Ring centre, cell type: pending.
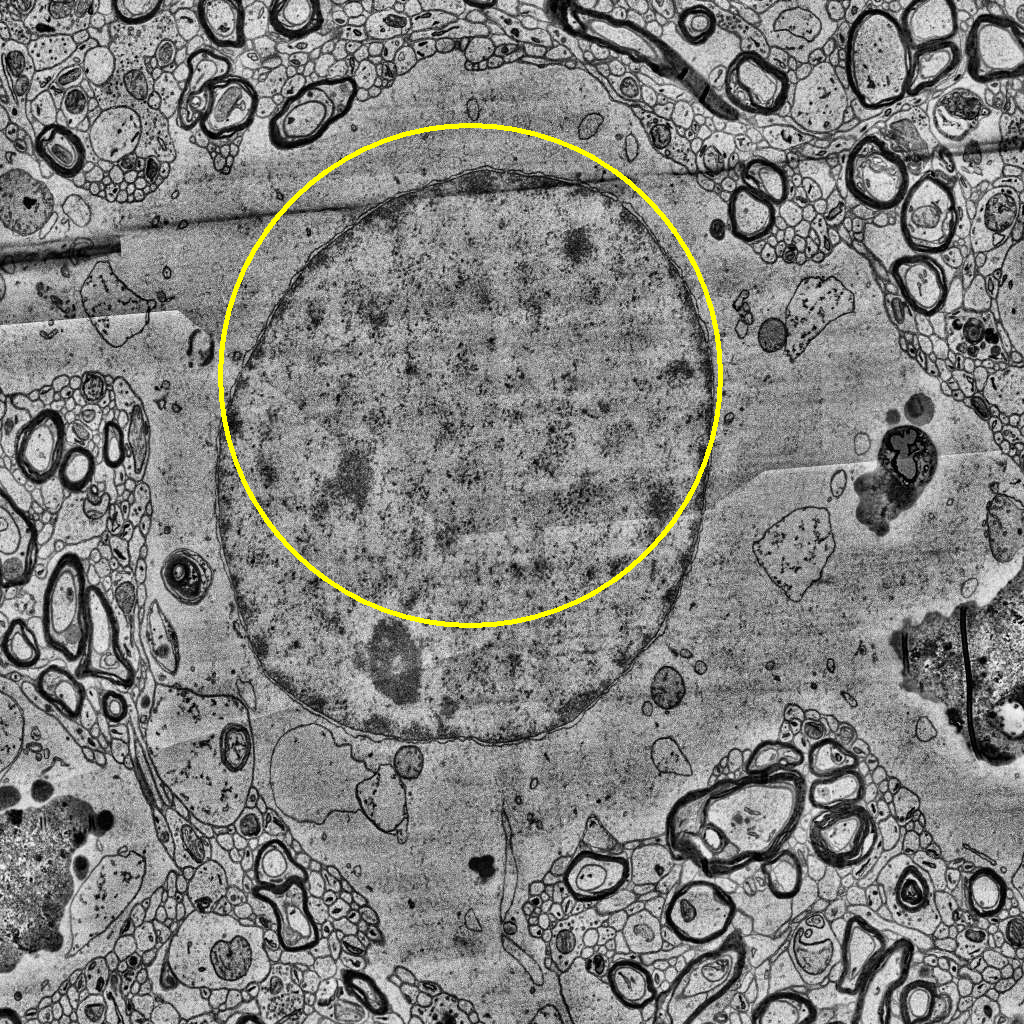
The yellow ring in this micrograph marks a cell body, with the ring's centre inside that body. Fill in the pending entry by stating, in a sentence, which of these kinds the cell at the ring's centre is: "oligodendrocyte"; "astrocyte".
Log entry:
The cell at the ring's centre is recorded as an astrocyte.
